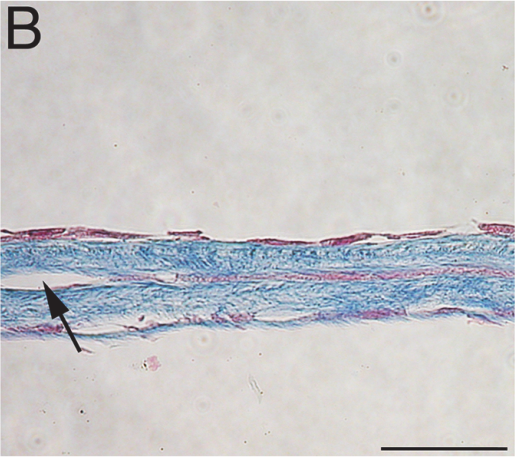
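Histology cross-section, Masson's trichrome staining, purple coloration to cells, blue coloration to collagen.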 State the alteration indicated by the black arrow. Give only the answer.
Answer: a small region where the two sheets are detached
